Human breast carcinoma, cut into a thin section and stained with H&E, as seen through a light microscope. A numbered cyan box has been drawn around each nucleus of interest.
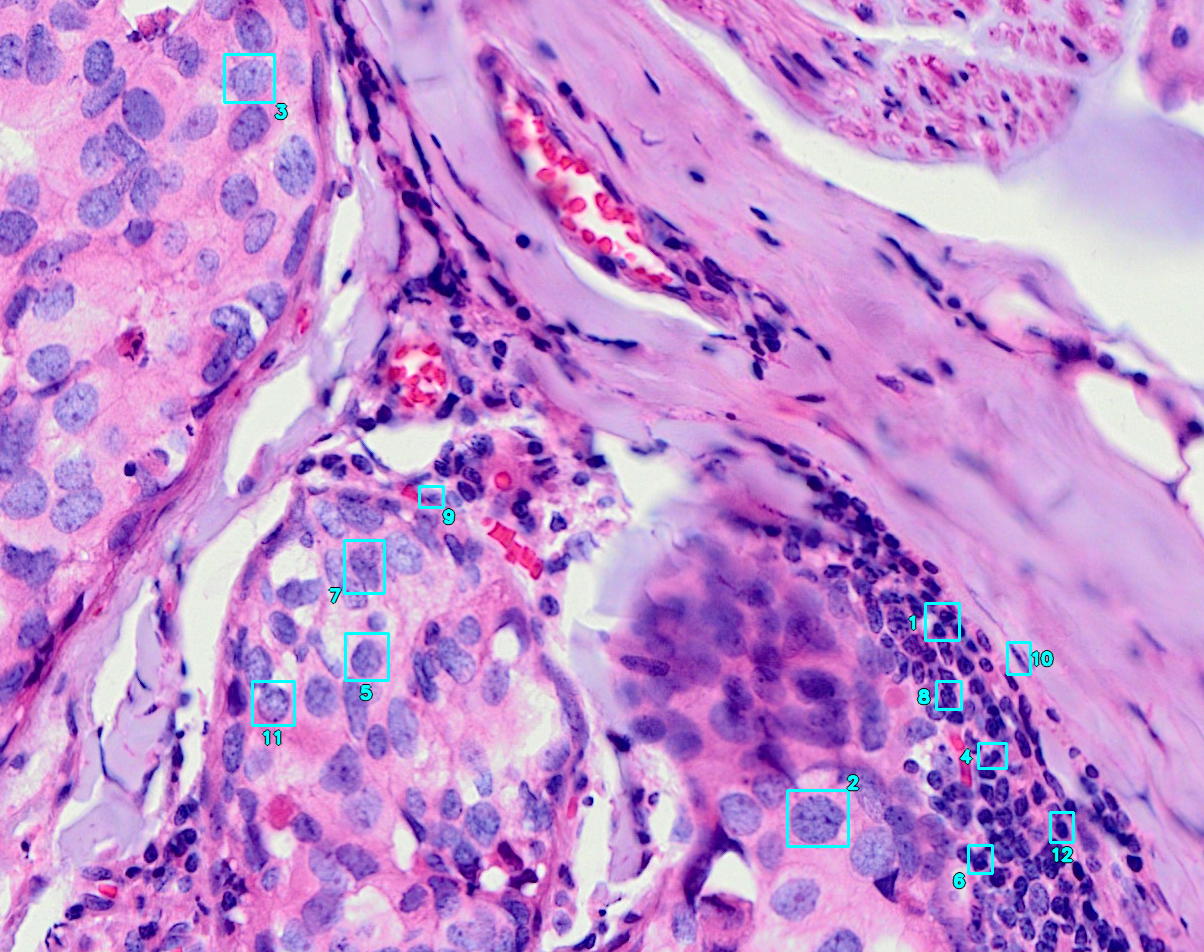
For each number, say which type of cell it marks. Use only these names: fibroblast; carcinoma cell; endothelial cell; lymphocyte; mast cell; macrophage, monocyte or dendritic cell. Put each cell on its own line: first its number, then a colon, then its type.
1: lymphocyte
2: carcinoma cell
3: carcinoma cell
4: lymphocyte
5: carcinoma cell
6: lymphocyte
7: carcinoma cell
8: lymphocyte
9: endothelial cell
10: fibroblast
11: carcinoma cell
12: lymphocyte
